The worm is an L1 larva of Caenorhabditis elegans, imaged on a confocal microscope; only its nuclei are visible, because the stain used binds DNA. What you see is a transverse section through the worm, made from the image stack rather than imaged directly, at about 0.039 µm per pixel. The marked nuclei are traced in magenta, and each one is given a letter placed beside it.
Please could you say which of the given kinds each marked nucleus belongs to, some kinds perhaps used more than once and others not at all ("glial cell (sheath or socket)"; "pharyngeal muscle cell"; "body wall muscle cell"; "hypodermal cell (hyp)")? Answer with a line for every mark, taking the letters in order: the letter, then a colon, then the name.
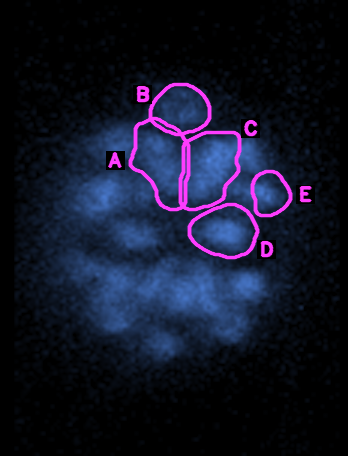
A: pharyngeal muscle cell
B: hypodermal cell (hyp)
C: pharyngeal muscle cell
D: pharyngeal muscle cell
E: glial cell (sheath or socket)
